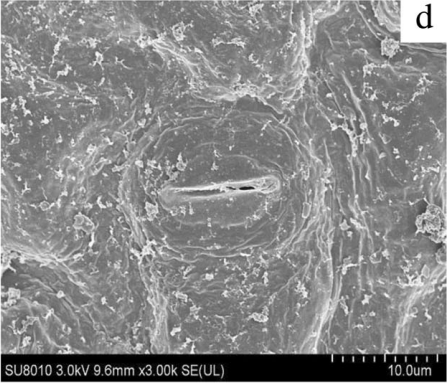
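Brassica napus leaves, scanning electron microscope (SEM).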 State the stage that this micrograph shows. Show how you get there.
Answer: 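The stoma in the center shows only a thin line where the pore would be. The guard cell lips are pressed together with almost no dark gap.
Complete closure.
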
